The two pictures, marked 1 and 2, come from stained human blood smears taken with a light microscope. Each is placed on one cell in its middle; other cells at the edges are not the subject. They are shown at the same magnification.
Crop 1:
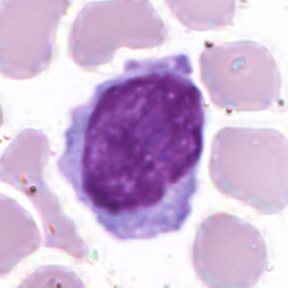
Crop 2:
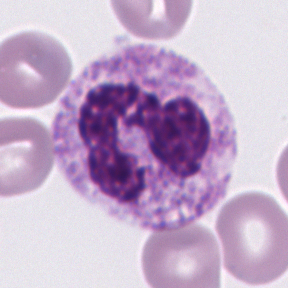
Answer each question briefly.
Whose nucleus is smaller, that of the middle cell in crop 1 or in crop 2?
2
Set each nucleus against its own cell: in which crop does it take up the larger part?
1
